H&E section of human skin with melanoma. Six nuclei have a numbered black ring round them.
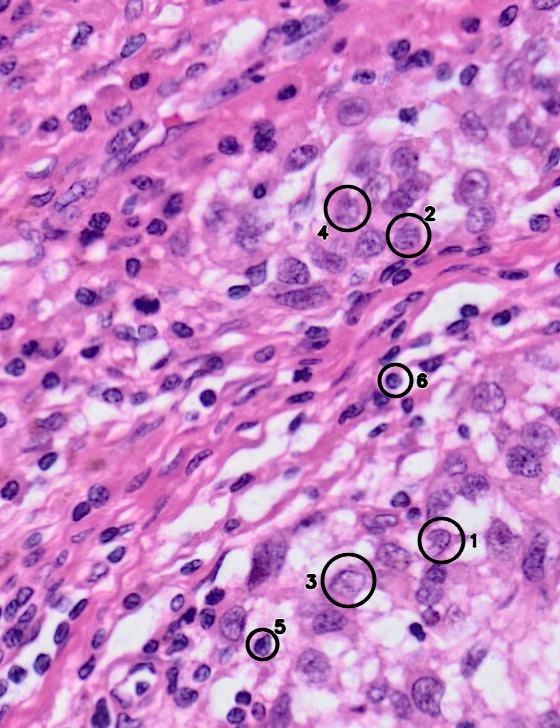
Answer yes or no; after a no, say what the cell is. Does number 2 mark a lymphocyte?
No, it is a melanoma cell.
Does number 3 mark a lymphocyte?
No, it is a melanoma cell.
